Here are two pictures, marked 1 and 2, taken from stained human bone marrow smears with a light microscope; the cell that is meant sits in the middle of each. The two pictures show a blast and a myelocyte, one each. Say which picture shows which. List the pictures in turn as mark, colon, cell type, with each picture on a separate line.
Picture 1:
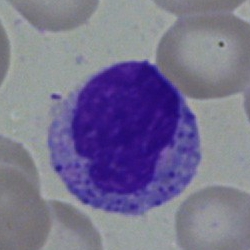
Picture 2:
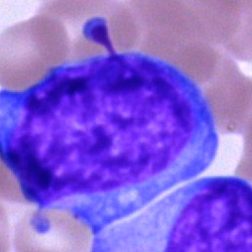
1: myelocyte
2: blast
